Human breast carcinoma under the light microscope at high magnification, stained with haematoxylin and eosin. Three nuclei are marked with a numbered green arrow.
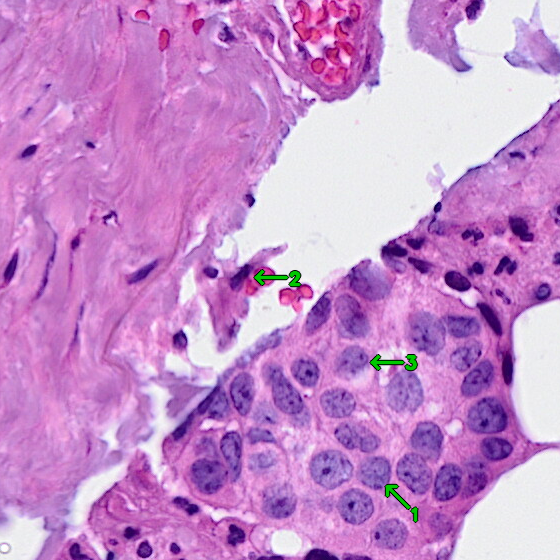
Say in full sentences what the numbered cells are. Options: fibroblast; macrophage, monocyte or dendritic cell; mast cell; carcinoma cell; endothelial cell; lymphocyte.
Cells 1 and 3 are carcinoma cells. Cell 2 is an endothelial cell.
